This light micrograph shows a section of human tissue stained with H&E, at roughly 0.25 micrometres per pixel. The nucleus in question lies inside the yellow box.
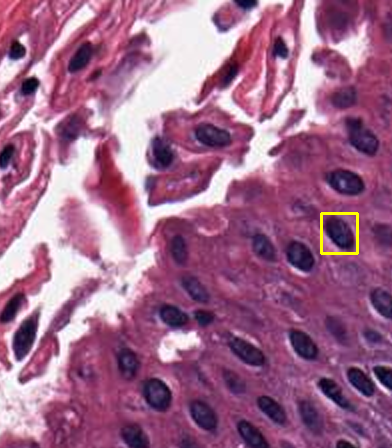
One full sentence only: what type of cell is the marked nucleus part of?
A nucleus of a squamous epithelial cell is the one that is marked.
